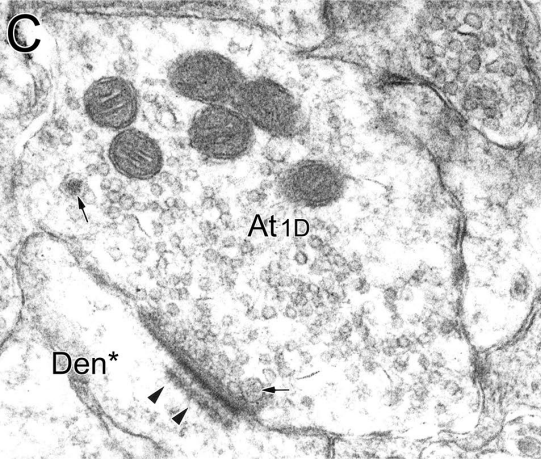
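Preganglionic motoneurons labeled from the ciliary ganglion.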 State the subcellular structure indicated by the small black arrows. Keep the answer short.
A: Dense-core vesicles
